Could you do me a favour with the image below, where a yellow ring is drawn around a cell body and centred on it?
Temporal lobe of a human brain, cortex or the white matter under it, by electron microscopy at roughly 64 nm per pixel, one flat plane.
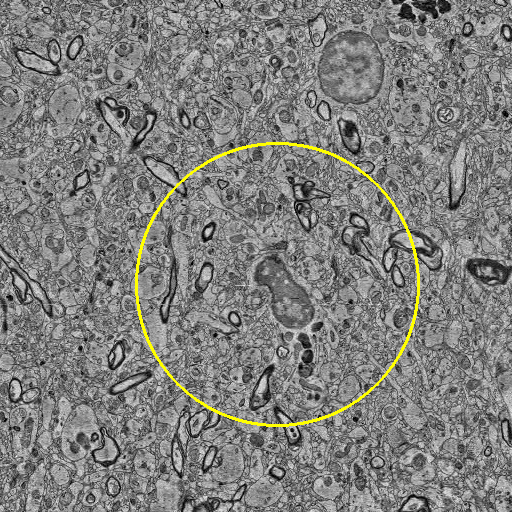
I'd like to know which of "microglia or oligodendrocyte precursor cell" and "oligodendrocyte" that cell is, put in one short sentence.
The cell at the ring's centre is a microglial cell or oligodendrocyte precursor cell.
